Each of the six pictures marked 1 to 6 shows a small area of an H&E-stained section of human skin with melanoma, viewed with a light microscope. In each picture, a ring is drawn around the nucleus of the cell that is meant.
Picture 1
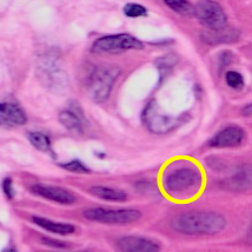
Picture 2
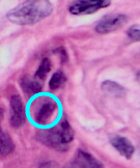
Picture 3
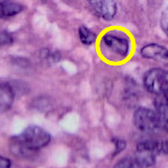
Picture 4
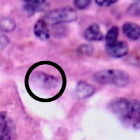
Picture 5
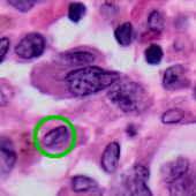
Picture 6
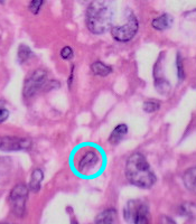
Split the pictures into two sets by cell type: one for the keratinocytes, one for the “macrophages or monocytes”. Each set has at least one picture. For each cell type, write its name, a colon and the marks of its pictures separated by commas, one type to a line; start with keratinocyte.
keratinocyte: 1, 2
macrophage or monocyte: 3, 4, 5, 6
